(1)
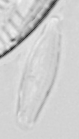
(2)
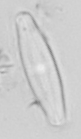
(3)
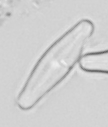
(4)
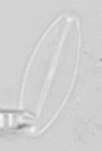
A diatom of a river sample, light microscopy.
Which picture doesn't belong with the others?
Picture 4.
